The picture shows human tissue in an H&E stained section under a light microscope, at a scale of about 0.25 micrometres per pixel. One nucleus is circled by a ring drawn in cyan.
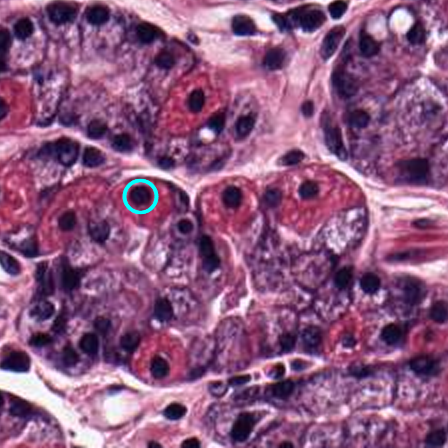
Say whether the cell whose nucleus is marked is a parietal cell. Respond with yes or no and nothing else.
yes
